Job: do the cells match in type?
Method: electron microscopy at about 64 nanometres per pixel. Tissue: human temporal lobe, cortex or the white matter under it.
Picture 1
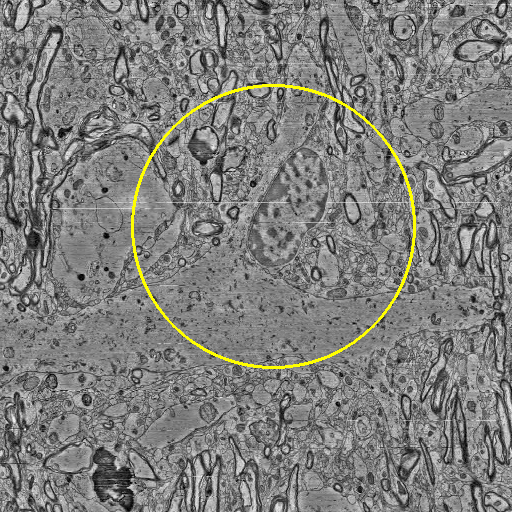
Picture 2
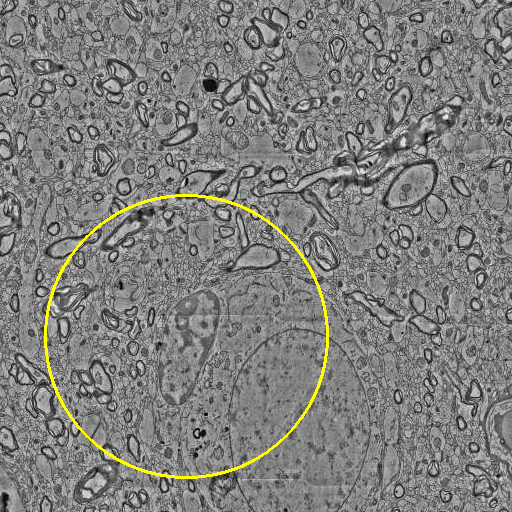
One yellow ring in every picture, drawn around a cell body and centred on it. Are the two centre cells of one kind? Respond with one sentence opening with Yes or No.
Yes, the ringed cells in the two pictures are of one and the same kind.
